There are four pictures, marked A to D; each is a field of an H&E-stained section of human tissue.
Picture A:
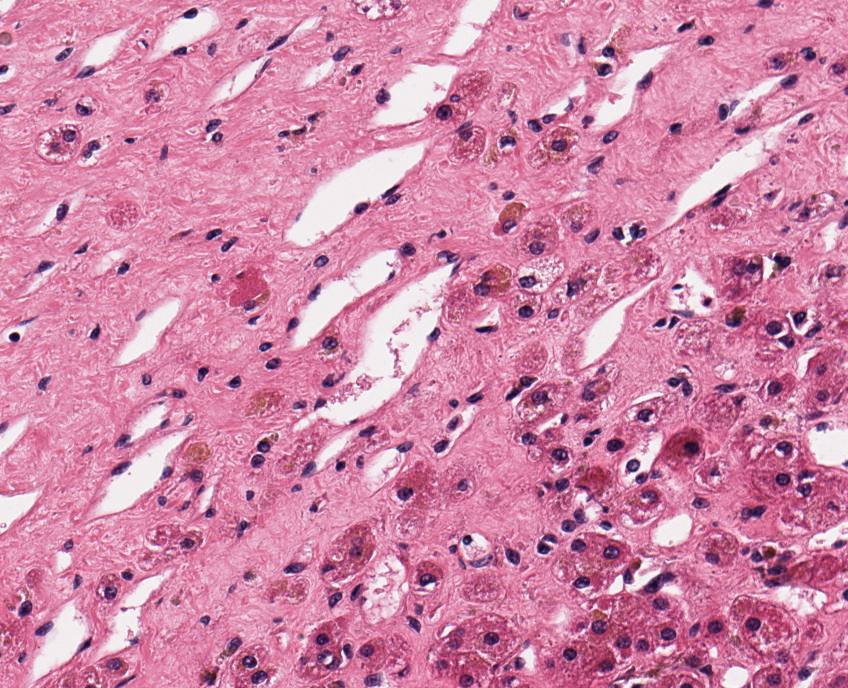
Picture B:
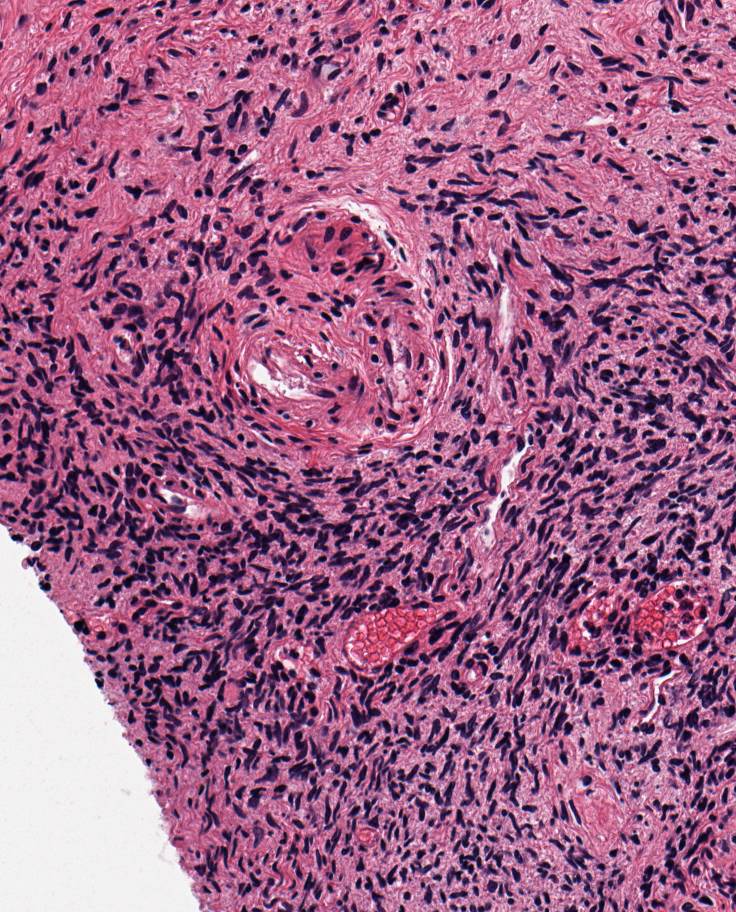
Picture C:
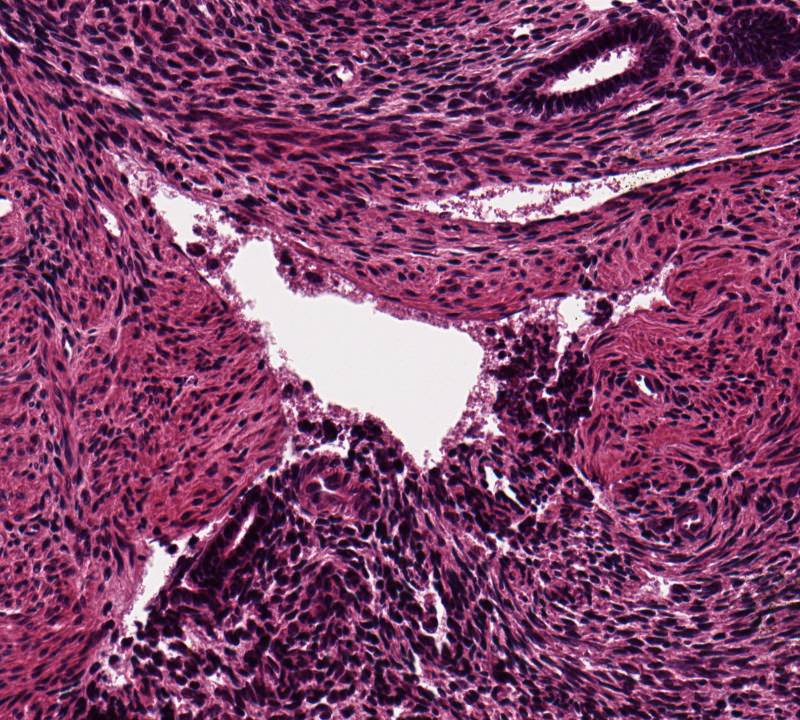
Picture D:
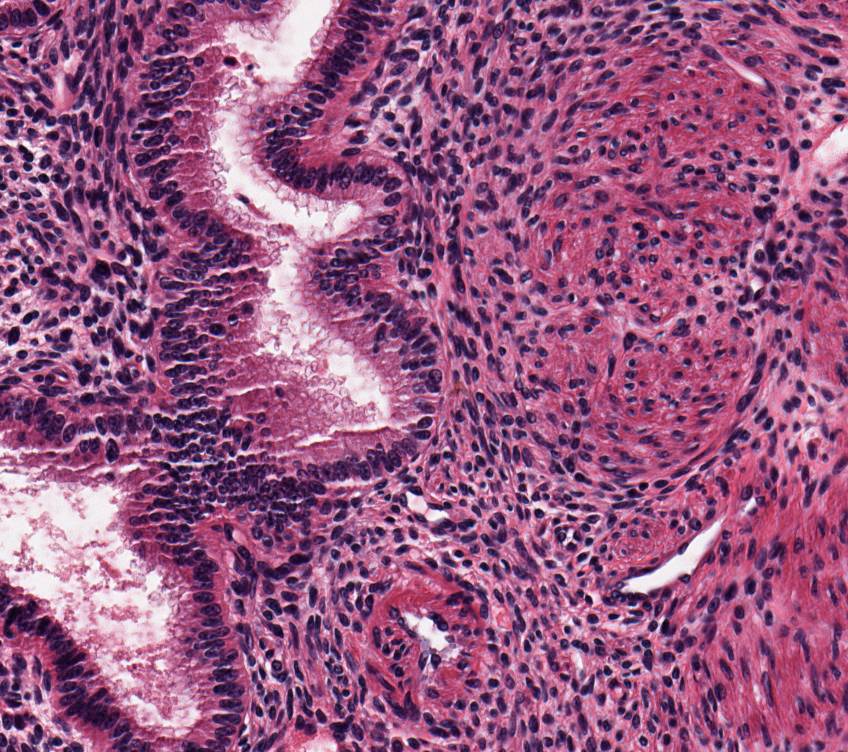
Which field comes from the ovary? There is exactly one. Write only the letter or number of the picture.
B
